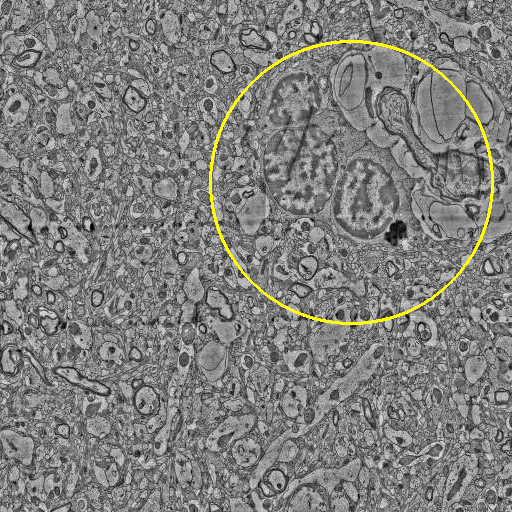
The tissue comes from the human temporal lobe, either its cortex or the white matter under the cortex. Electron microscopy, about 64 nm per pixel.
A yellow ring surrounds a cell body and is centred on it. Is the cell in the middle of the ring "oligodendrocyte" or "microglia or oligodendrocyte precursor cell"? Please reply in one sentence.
The ring is centred on an oligodendrocyte.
